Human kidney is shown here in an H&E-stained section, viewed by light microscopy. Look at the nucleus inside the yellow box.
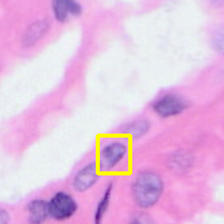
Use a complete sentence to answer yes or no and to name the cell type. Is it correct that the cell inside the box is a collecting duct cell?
Yes, by cell type, the cell inside the box is a collecting duct cell.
